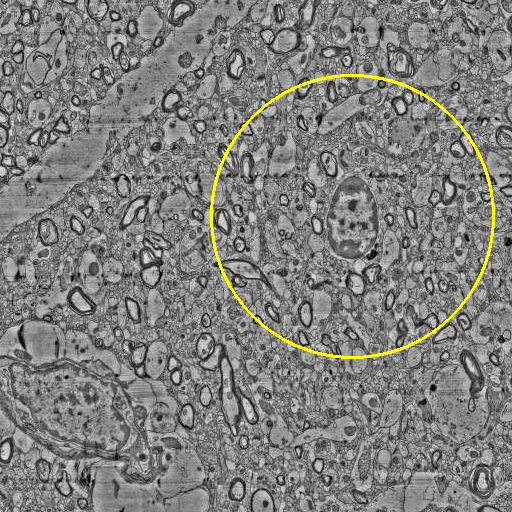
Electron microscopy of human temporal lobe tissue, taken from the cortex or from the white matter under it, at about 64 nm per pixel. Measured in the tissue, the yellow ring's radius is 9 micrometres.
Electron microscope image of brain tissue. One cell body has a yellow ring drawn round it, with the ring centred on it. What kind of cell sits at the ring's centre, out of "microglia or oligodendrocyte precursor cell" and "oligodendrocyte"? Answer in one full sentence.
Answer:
It is a microglial cell or oligodendrocyte precursor cell whose cell body sits at the centre of the yellow ring.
